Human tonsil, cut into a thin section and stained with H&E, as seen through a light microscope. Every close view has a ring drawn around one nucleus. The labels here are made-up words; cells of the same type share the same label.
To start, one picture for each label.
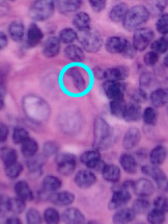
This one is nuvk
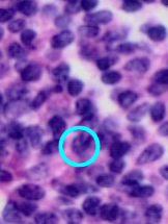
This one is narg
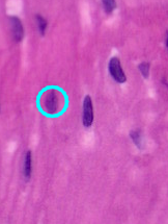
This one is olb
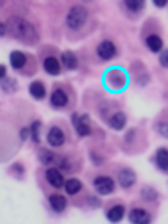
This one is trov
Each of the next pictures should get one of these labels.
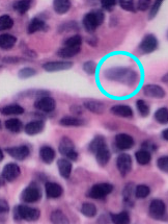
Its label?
nuvk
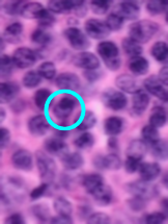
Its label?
narg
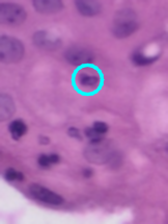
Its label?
olb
